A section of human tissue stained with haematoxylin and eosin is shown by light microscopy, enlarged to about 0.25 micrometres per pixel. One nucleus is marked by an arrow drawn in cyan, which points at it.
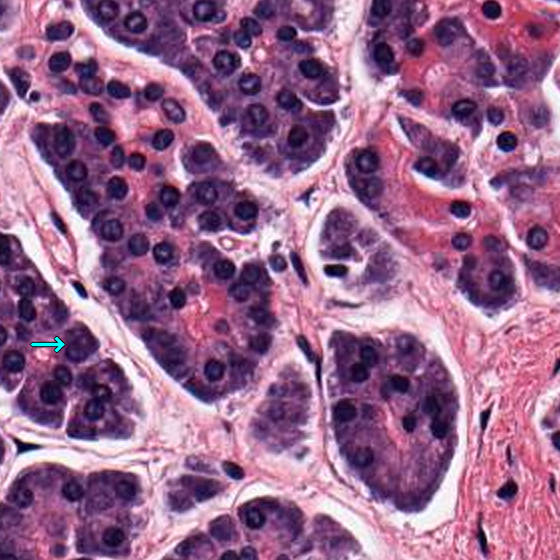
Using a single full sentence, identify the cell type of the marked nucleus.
The cell that the marked nucleus belongs to is a pancreatic acinar cell.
